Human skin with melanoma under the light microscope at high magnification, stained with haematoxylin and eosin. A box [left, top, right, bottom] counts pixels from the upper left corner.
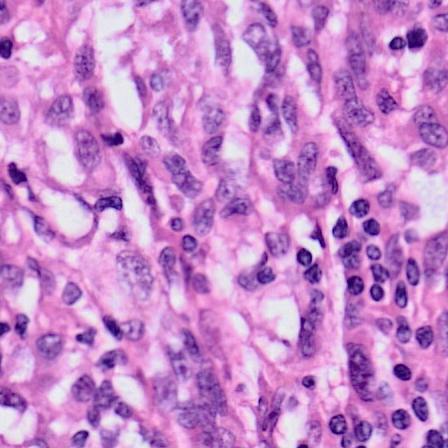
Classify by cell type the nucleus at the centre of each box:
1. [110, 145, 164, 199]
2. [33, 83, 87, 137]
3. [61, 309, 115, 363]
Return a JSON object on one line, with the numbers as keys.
{"1": "melanoma cell", "2": "melanoma cell", "3": "lymphocyte"}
